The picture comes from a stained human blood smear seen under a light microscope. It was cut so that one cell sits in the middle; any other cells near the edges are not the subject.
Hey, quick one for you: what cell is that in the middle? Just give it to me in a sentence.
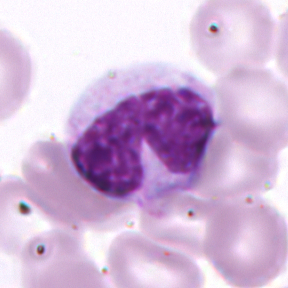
The cell at the middle of the frame should be recorded as a band neutrophil.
